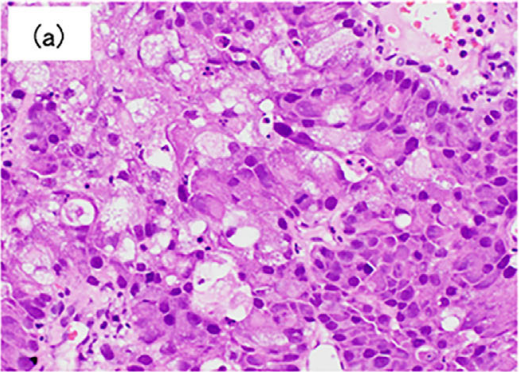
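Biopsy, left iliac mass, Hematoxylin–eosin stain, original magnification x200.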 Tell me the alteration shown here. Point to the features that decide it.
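Many large cells have pale, bubbly, vacuolated cytoplasm. Vacuoles of various sizes fill the cytoplasm of these cells. That points to this answer: foamy cytoplasm.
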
